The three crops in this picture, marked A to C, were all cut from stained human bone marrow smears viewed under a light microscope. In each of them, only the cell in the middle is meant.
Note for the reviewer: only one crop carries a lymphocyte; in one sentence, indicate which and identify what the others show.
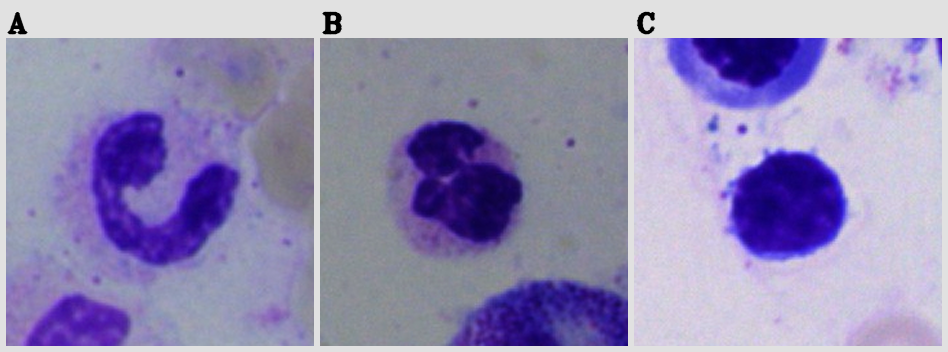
Sorting them out, crop C is a lymphocyte, while crop A is a band neutrophil and crop B is a segmented neutrophil.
